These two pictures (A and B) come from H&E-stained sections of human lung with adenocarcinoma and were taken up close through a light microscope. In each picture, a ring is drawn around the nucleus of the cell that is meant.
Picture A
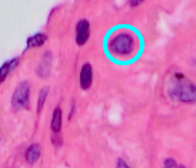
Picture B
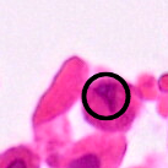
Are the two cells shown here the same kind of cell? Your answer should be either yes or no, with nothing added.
no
